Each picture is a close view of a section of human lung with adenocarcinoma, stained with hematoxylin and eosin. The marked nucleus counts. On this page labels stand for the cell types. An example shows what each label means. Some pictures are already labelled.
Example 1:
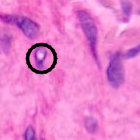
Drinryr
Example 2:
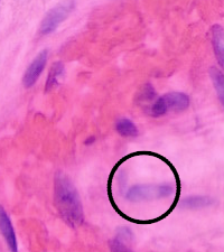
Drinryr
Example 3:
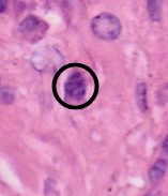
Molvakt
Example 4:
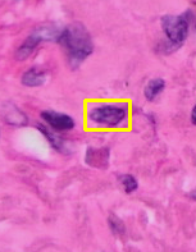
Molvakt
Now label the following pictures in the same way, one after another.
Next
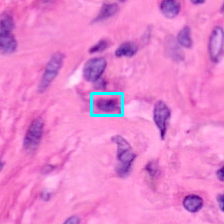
Molvakt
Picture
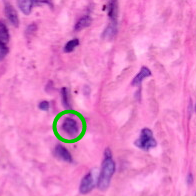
Molvakt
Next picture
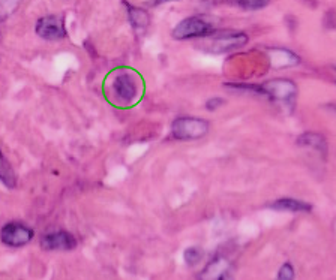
Molvakt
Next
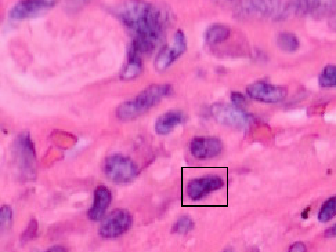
Molvakt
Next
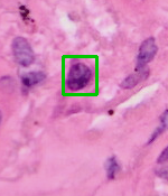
Molvakt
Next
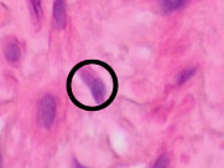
Drinryr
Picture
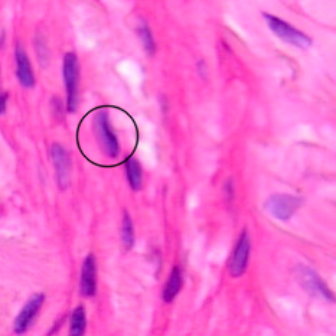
Drinryr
